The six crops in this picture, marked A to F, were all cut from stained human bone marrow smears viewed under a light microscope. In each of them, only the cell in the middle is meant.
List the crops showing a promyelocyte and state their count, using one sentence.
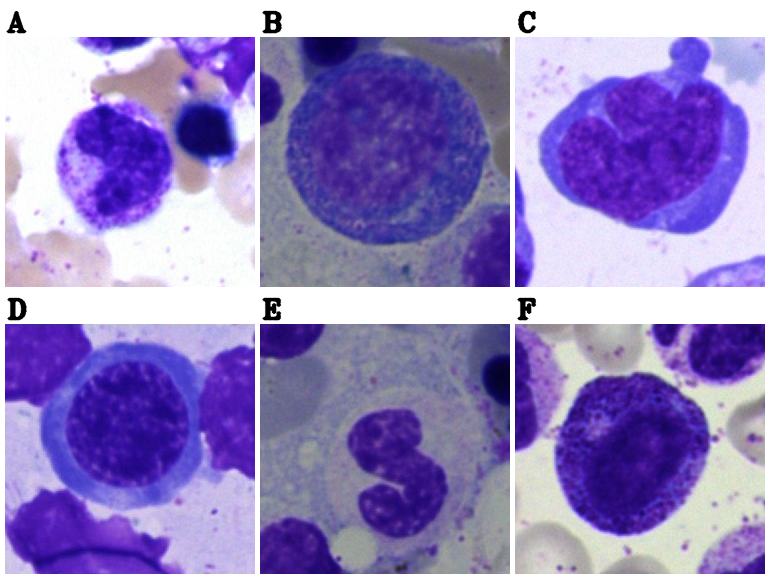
The crops depicting promyelocytes, two in total, are B and F.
